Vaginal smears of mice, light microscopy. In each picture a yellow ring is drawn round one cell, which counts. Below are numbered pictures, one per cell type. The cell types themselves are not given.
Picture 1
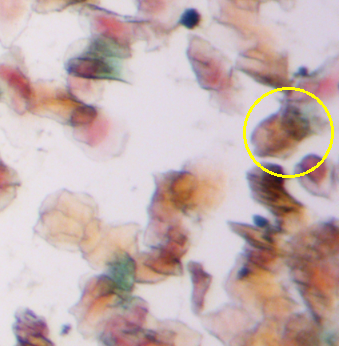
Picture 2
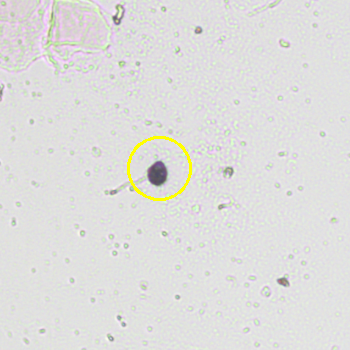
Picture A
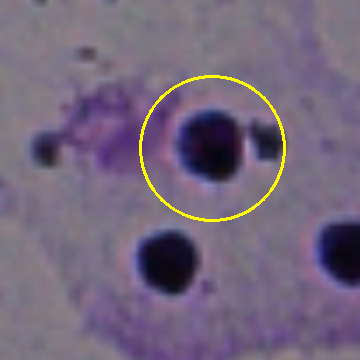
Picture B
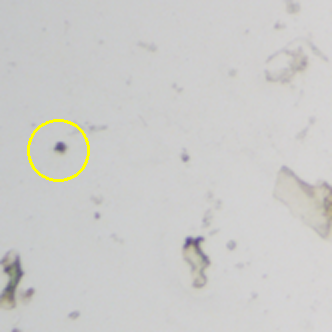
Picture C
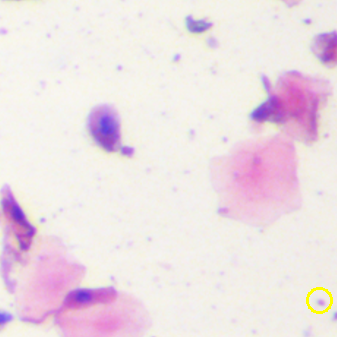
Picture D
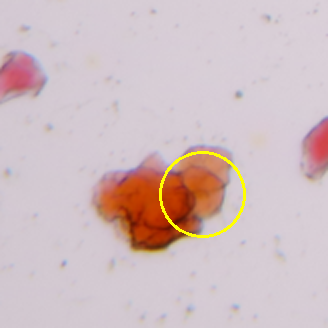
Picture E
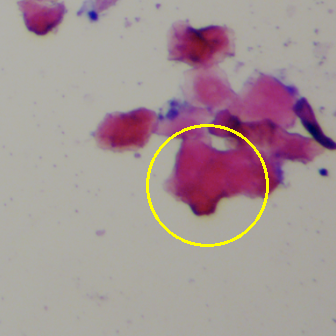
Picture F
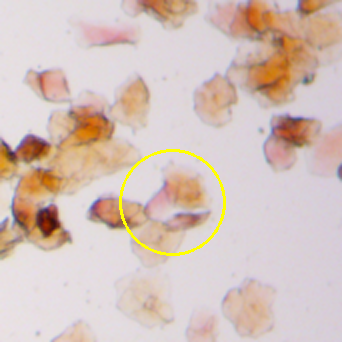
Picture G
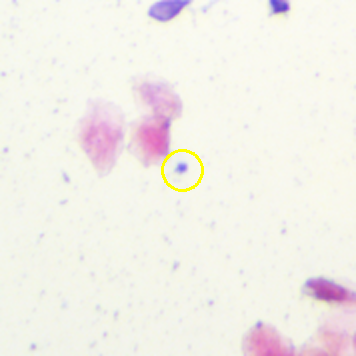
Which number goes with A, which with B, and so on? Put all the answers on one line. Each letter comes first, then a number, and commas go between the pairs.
A 2, B 2, C 2, D 1, E 1, F 1, G 2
